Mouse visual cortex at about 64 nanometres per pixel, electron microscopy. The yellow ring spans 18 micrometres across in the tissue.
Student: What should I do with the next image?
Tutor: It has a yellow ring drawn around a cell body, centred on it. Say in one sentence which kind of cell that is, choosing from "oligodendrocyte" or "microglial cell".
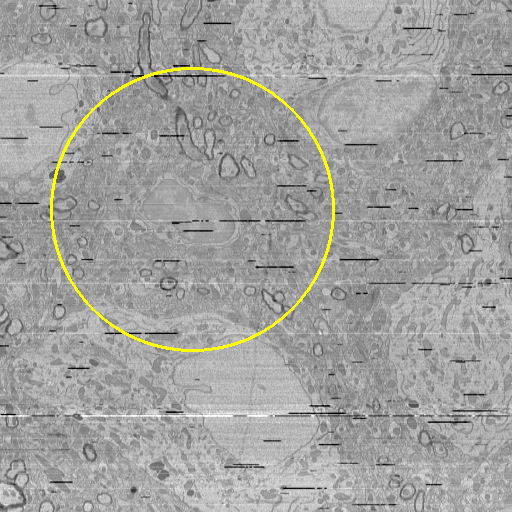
The ring's centre is occupied by a microglial cell.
